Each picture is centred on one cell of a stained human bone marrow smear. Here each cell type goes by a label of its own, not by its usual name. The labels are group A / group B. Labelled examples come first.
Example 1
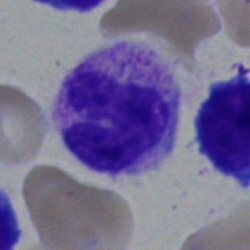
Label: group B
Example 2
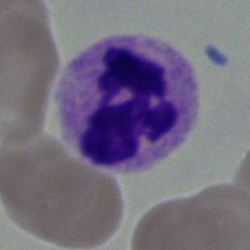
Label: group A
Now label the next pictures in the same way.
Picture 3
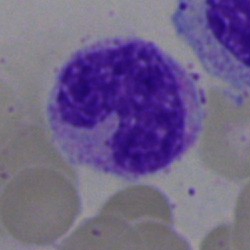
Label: group B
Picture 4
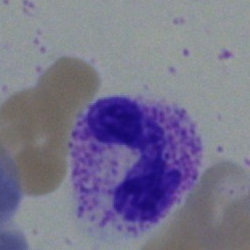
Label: group B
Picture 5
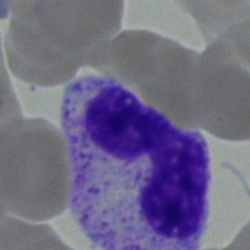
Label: group B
